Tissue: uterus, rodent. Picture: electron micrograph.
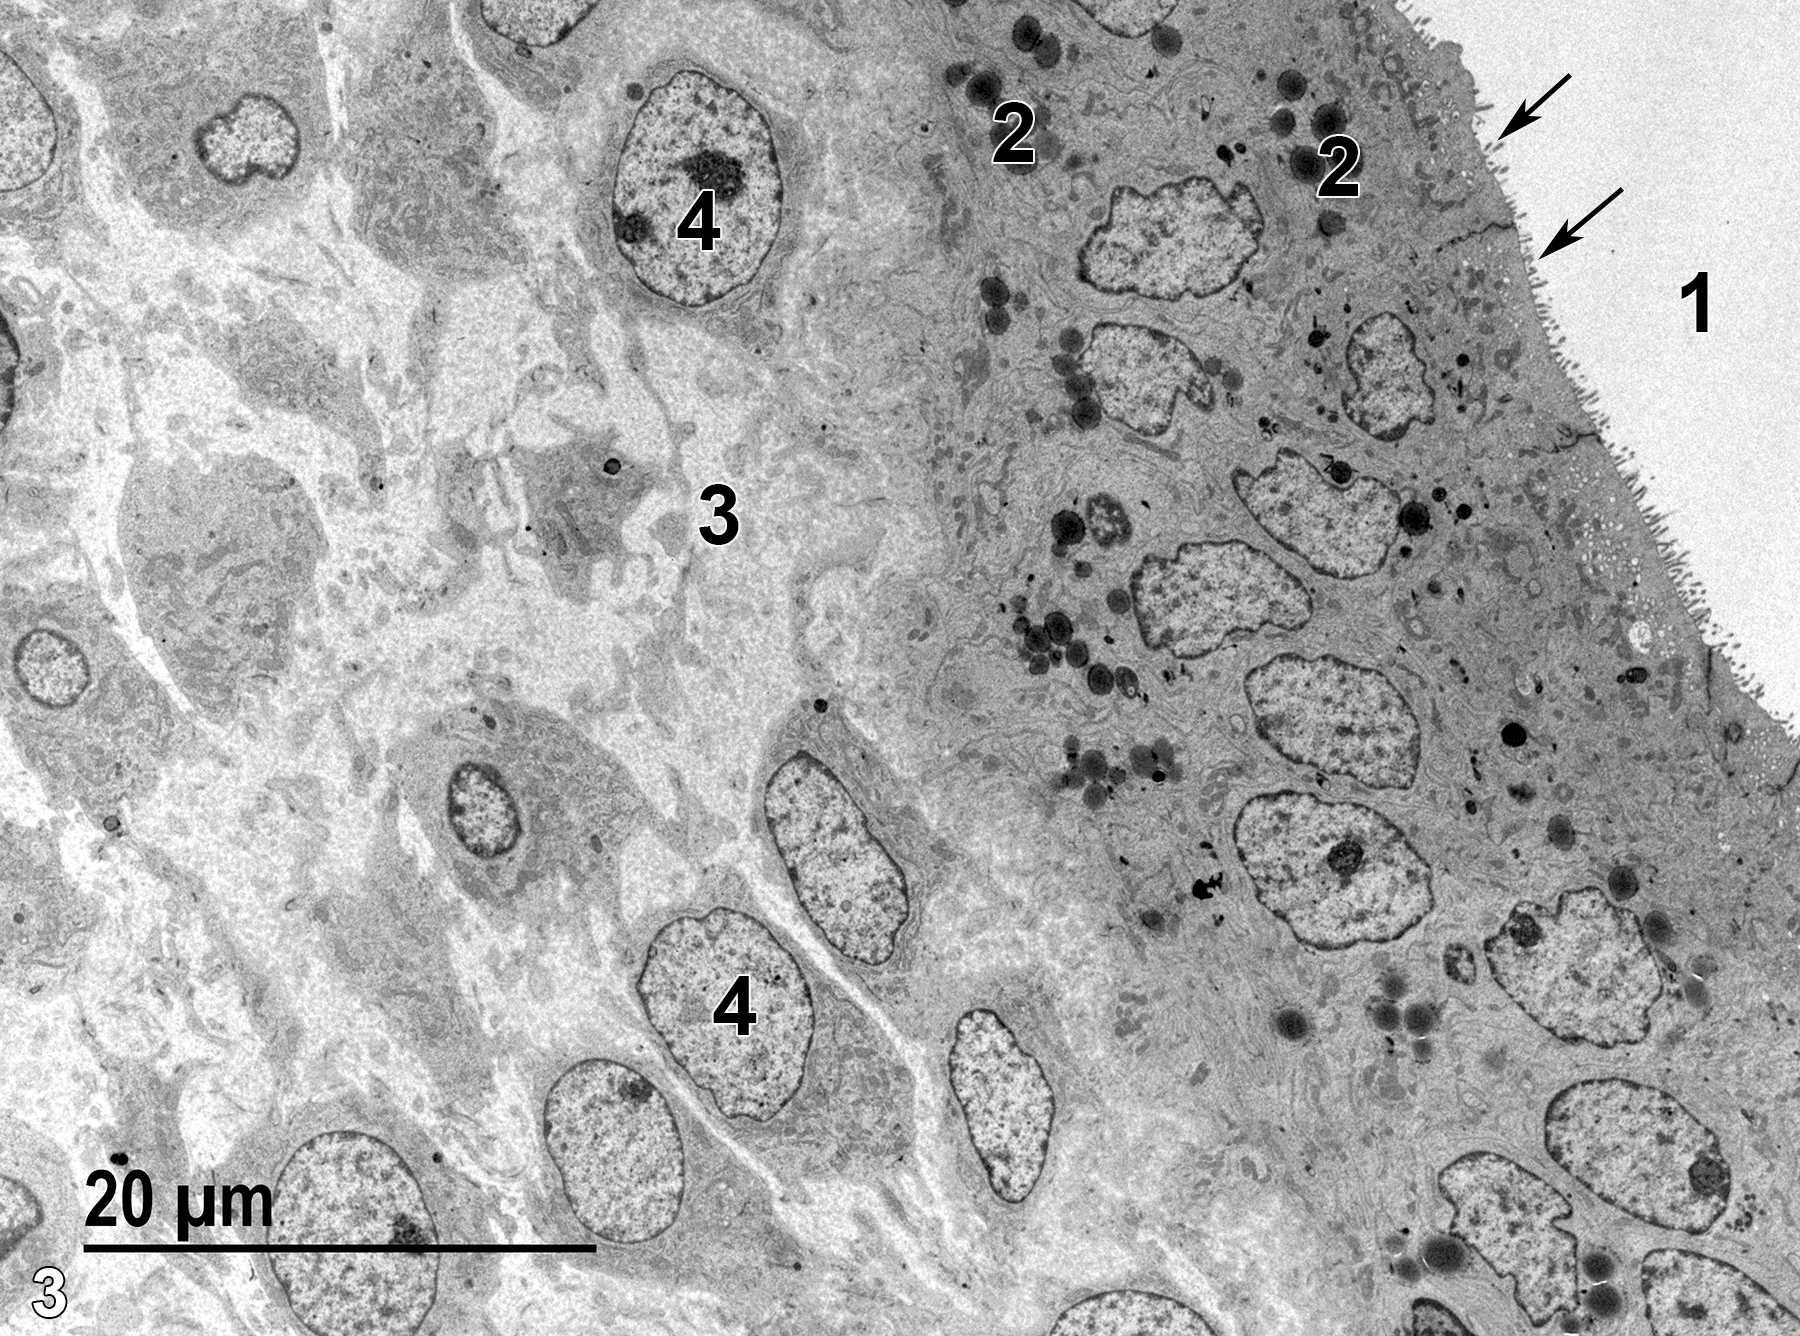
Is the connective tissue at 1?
No: the uterine lumen.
